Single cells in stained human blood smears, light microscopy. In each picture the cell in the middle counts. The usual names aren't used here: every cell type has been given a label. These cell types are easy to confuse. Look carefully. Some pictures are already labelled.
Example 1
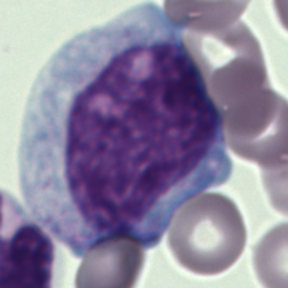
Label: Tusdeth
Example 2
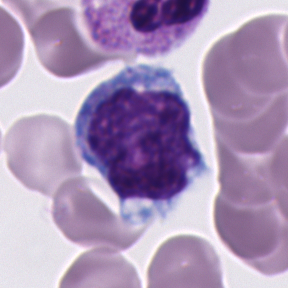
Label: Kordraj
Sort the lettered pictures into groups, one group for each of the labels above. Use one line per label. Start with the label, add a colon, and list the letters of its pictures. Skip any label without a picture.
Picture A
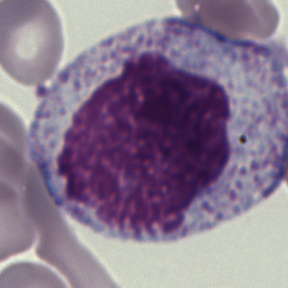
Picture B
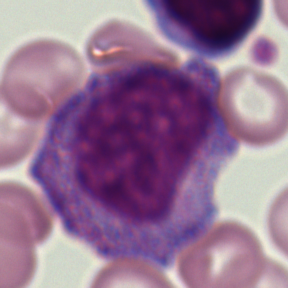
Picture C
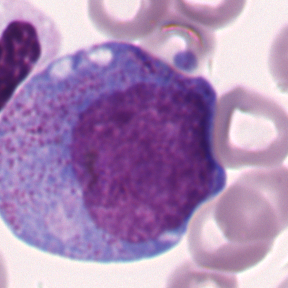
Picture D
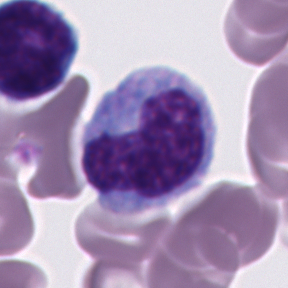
Tusdeth: A, B, C
Kordraj: D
